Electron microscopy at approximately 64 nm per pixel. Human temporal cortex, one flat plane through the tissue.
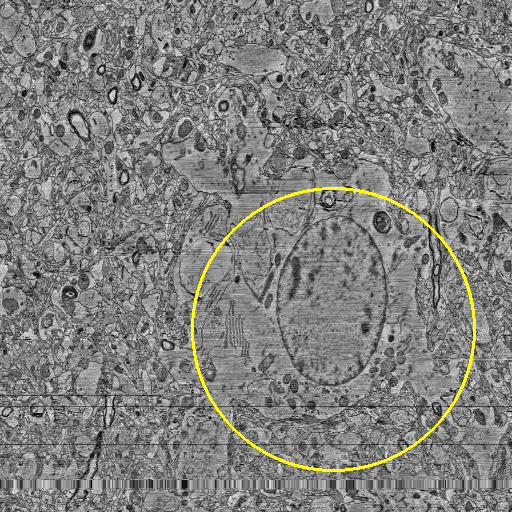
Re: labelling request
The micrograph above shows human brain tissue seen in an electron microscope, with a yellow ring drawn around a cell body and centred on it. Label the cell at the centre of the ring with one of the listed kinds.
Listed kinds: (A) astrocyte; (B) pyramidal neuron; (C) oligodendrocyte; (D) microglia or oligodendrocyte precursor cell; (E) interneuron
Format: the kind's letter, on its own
A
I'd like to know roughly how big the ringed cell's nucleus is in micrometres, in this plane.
In this plane the nucleus is clearly longer than it is wide: roughly 11 by 7 micrometres.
